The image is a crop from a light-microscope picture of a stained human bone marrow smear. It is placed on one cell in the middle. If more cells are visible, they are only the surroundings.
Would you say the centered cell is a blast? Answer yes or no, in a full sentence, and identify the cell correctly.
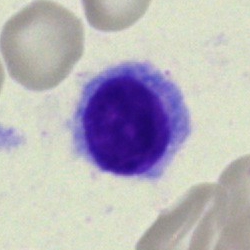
No, what the centre of the crop shows is a hairy cell, not a blast.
